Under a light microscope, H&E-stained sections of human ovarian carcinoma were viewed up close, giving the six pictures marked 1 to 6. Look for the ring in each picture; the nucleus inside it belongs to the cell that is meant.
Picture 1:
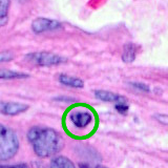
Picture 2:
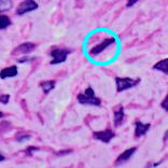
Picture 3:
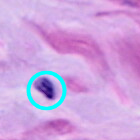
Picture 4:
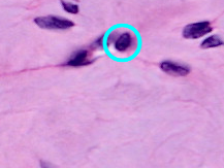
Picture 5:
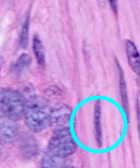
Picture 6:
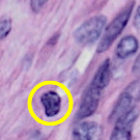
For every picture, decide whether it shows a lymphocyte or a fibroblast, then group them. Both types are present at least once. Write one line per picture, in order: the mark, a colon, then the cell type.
1: lymphocyte
2: fibroblast
3: lymphocyte
4: lymphocyte
5: fibroblast
6: lymphocyte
